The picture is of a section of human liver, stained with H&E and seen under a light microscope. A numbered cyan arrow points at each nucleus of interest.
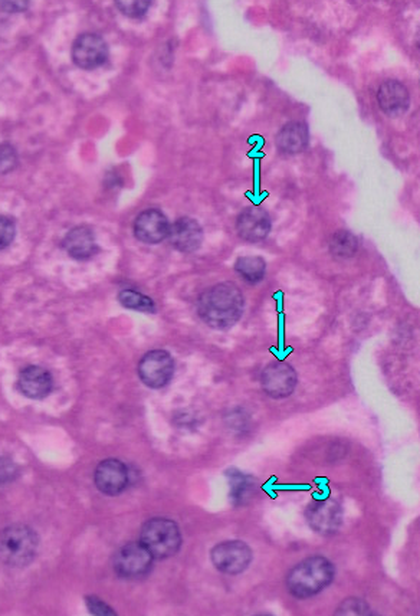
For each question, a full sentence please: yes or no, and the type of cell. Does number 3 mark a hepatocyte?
No, the cell bearing number 3 is not a hepatocyte but an endothelial cell.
